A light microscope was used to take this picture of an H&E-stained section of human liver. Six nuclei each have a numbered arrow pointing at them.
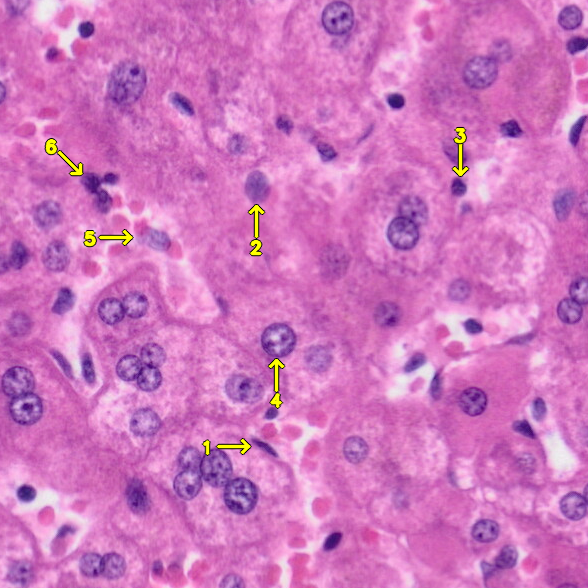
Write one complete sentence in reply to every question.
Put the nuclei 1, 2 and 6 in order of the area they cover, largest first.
By area, largest first, they run 2, 6, 1.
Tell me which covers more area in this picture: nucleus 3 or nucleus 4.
Number 4 is larger; its area is about 4 times that of number 3.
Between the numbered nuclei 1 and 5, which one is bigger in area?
Nucleus 5 is the larger one, covering about 3 times the area of nucleus 1.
